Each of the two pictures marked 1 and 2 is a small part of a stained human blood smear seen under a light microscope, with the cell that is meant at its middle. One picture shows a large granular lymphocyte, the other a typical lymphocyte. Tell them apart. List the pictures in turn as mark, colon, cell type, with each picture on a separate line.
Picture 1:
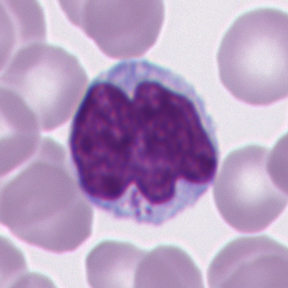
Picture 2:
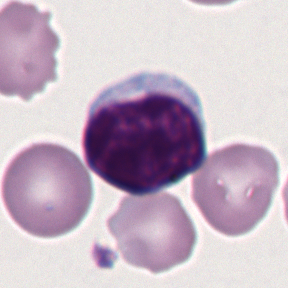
1: large granular lymphocyte
2: typical lymphocyte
